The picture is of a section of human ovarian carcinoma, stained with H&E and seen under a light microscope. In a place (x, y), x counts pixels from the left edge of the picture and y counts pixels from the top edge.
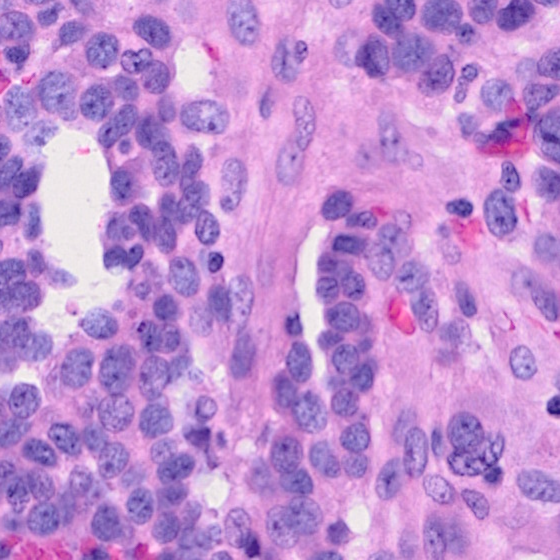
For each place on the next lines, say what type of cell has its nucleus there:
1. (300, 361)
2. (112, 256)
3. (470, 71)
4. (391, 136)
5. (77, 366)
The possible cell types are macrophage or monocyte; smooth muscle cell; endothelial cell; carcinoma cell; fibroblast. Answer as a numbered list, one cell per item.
1. carcinoma cell
2. carcinoma cell
3. macrophage or monocyte
4. fibroblast
5. carcinoma cell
